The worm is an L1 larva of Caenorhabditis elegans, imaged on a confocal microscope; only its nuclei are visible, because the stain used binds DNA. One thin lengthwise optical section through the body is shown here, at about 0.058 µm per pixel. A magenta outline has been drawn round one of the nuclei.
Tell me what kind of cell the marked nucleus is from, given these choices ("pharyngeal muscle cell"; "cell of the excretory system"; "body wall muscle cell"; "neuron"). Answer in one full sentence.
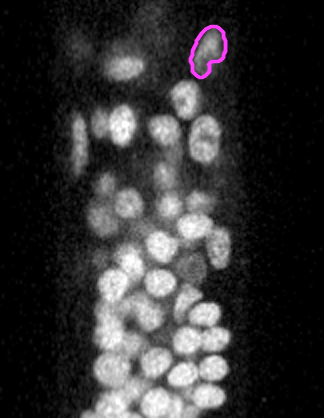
The marked cell is a body wall muscle cell.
